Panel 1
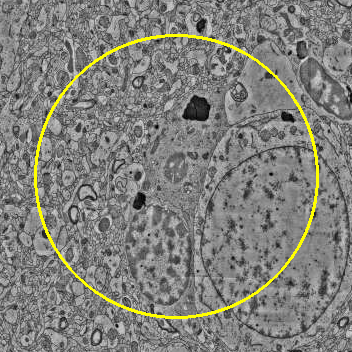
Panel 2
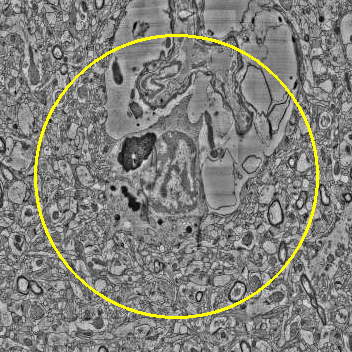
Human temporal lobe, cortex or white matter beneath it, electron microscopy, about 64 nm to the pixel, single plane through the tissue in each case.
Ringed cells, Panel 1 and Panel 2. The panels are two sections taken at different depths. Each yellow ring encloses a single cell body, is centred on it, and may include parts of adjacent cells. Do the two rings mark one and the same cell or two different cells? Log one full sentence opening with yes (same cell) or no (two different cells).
No, the two yellow rings correspond to two separate cells.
